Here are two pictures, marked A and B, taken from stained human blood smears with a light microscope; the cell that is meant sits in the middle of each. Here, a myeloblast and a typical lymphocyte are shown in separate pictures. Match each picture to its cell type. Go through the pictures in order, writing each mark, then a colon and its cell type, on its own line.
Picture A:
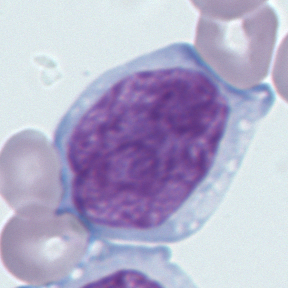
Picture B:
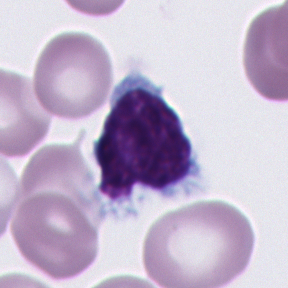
A: myeloblast
B: typical lymphocyte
